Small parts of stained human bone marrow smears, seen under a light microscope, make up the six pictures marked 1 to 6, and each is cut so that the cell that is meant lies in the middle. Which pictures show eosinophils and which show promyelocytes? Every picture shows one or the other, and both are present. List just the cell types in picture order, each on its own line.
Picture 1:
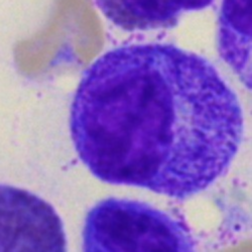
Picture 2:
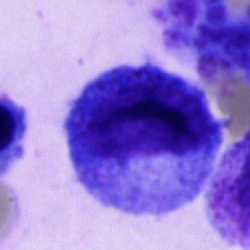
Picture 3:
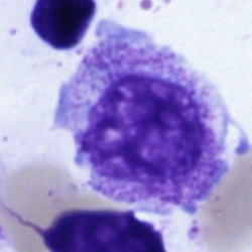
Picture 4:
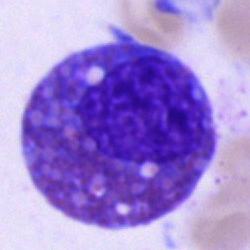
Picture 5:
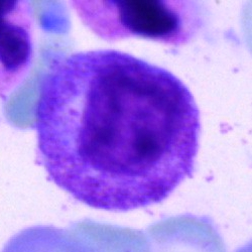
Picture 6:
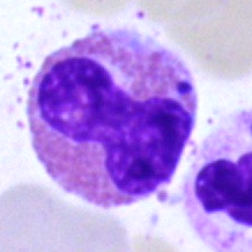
promyelocyte
promyelocyte
promyelocyte
eosinophil
promyelocyte
eosinophil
